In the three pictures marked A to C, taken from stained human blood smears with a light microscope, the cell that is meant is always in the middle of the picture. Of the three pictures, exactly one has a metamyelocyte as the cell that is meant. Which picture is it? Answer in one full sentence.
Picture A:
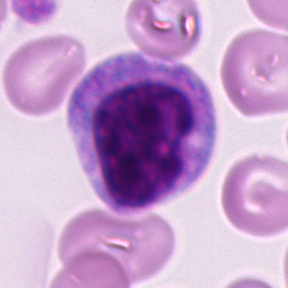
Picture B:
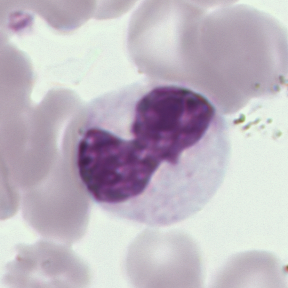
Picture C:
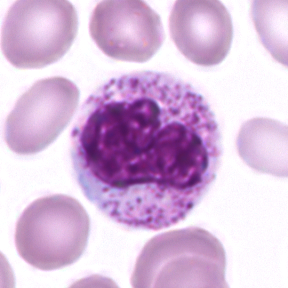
It is picture A that shows the metamyelocyte.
